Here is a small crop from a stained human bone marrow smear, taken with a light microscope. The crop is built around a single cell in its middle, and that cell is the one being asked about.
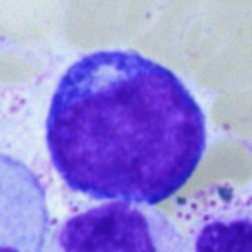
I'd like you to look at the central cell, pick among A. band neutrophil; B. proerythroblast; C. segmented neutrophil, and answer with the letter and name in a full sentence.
Option B gives the correct identity of the central cell, namely a proerythroblast.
